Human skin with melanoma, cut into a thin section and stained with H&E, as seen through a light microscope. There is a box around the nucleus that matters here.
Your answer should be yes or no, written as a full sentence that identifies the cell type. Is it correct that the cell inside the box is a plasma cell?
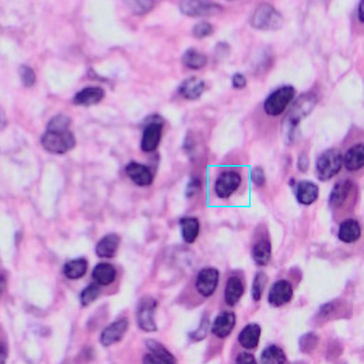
Yes, the cell inside the box is categorized as a plasma cell in this section.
